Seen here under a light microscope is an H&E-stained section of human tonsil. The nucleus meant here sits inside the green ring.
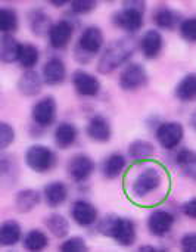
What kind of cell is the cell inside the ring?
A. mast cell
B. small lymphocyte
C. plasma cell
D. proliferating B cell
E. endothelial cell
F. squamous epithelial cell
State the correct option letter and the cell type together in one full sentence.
In short, option B: the cell inside the ring is a small lymphocyte.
